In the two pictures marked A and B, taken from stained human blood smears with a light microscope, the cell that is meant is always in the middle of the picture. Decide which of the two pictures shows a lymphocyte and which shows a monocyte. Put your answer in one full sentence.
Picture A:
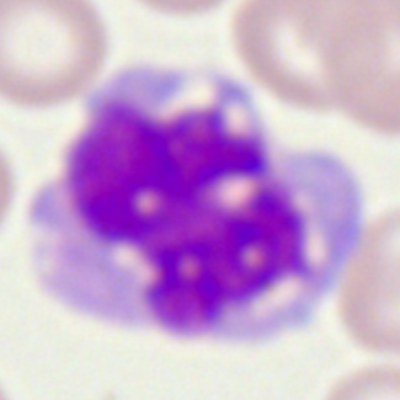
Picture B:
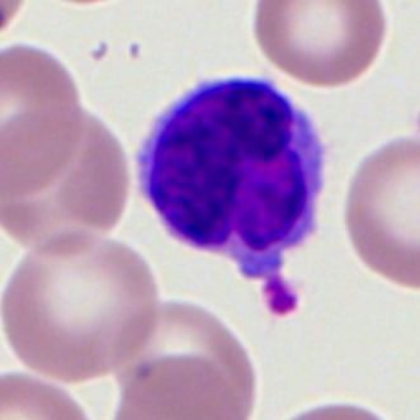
Picture A shows a monocyte and picture B shows a lymphocyte.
